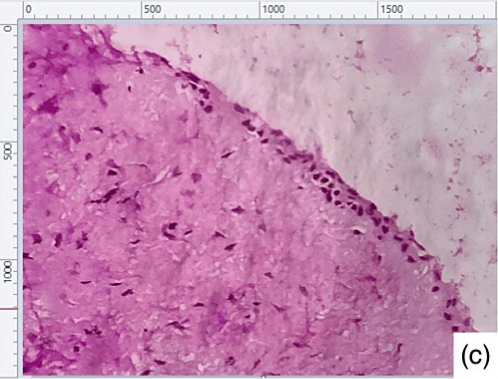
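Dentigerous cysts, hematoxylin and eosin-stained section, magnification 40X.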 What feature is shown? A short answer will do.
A: Flat epithelial connective tissue interface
